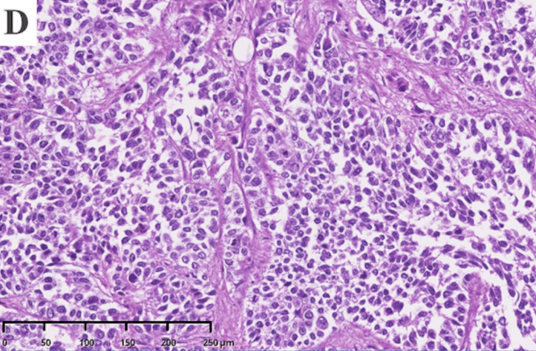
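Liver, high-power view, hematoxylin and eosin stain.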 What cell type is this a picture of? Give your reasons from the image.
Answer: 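Tumor cells. Densely packed cells with dark, crowded nuclei fill the field. Cells lie in sheets divided by thin fibrovascular strands. No normal hepatocyte plates are visible.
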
